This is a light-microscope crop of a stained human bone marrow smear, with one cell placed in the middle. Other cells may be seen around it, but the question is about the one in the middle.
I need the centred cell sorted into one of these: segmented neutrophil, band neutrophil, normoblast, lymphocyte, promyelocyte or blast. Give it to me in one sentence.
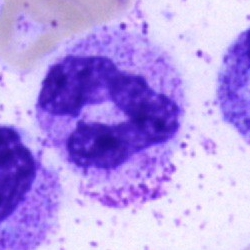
The target cell in the middle of the crop is a segmented neutrophil.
